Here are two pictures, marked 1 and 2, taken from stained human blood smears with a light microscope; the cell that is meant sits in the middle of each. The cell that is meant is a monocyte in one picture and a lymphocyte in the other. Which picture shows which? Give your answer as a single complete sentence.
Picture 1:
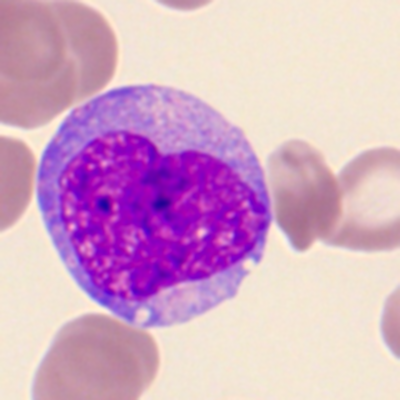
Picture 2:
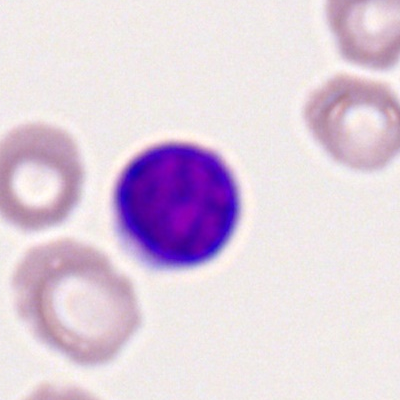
The cell in picture 1 is a monocyte, and the one in picture 2 is a lymphocyte.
